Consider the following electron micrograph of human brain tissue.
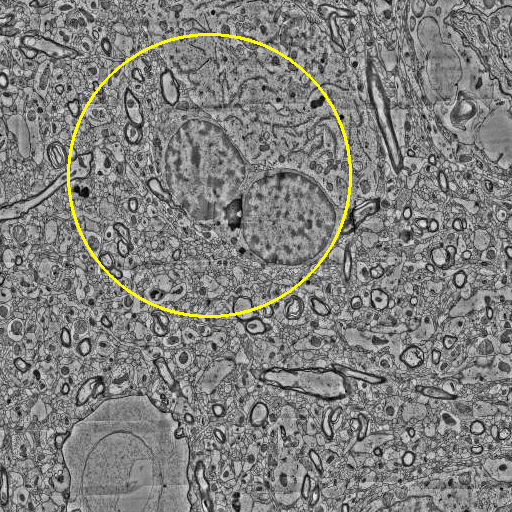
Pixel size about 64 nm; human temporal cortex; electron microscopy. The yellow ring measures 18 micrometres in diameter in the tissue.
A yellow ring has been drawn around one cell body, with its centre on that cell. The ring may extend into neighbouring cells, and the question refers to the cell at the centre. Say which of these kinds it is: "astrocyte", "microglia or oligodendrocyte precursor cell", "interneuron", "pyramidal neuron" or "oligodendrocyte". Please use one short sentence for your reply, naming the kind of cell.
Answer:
The centre of the ring falls on an oligodendrocyte.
